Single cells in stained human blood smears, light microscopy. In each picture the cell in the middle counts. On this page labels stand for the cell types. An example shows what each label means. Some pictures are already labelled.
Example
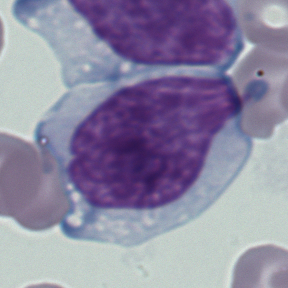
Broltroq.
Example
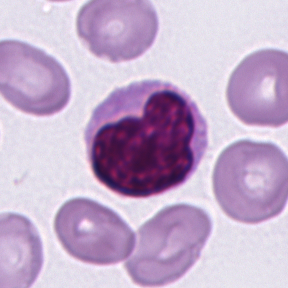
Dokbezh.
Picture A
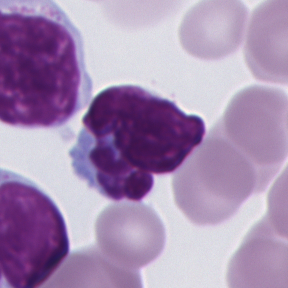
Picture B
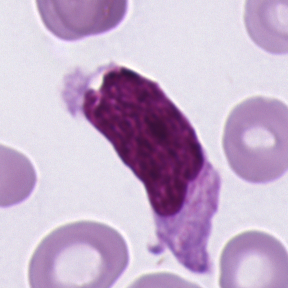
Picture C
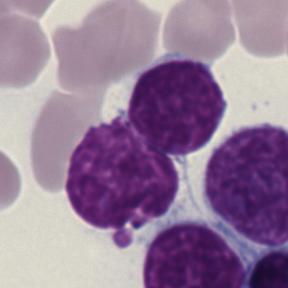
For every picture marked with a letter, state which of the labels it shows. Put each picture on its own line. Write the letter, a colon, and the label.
A: Dokbezh.
B: Dokbezh.
C: Broltroq.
